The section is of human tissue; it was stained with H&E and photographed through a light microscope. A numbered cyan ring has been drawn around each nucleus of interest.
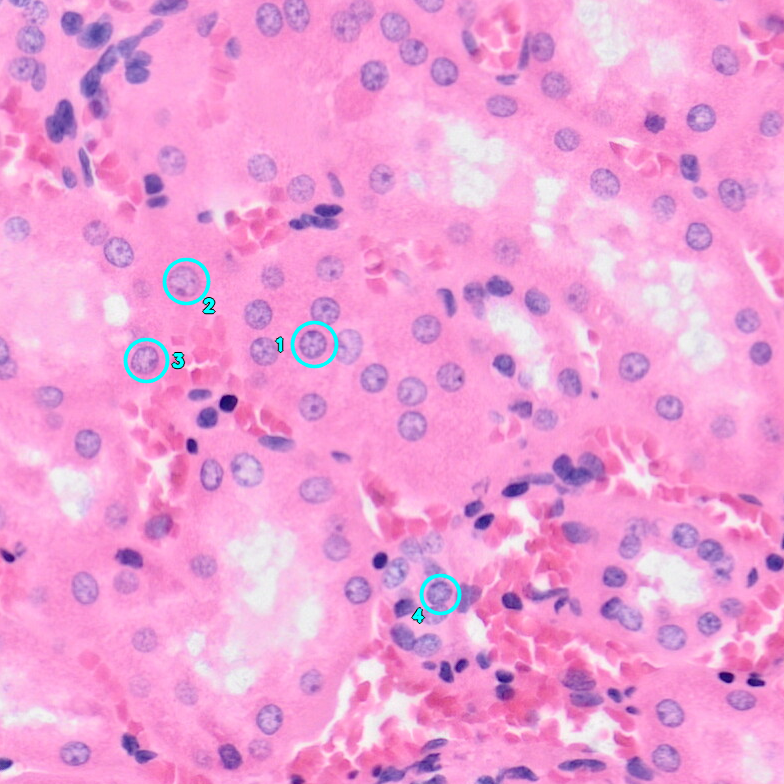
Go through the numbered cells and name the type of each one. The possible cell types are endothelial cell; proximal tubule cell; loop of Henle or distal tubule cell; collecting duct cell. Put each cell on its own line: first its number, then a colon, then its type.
1: proximal tubule cell
2: proximal tubule cell
3: proximal tubule cell
4: collecting duct cell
